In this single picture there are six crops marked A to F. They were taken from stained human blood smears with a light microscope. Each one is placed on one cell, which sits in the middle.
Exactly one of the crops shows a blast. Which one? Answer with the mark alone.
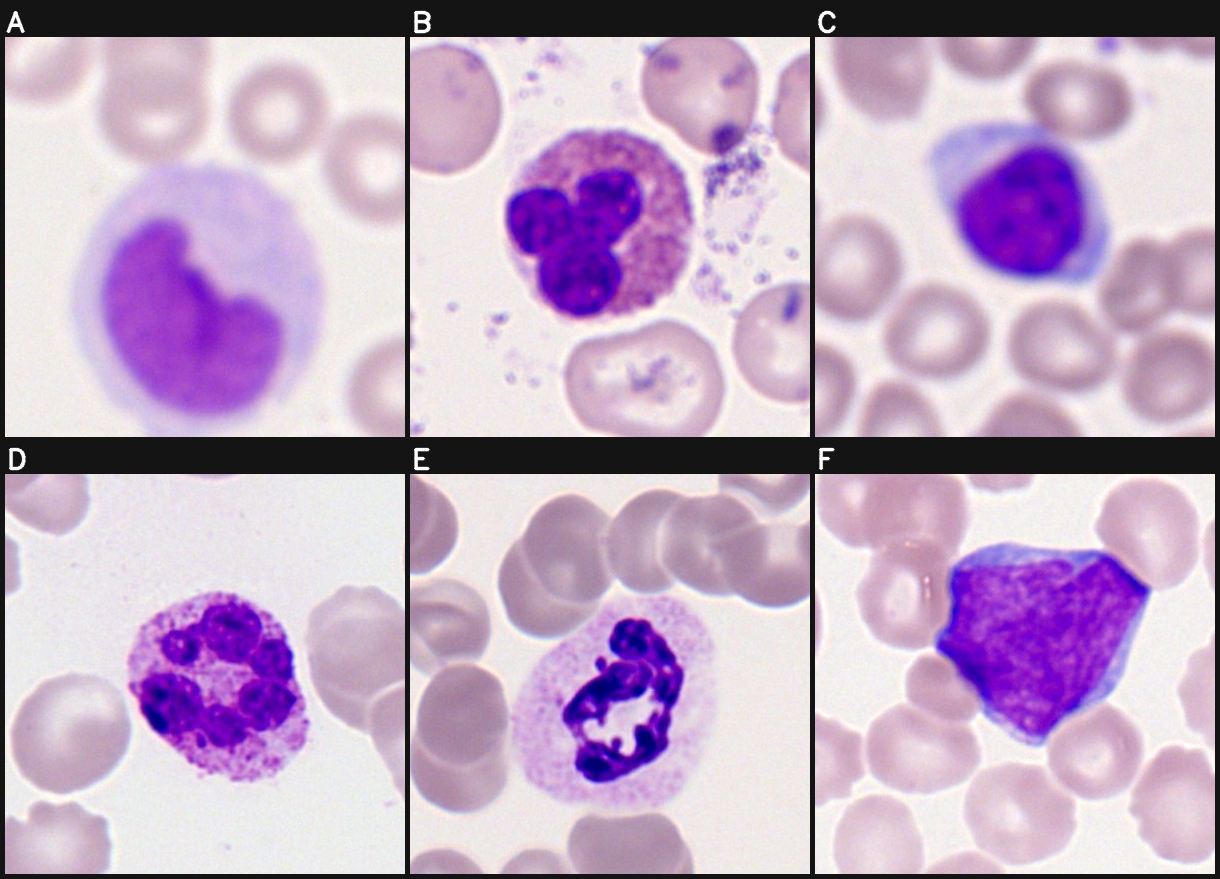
F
